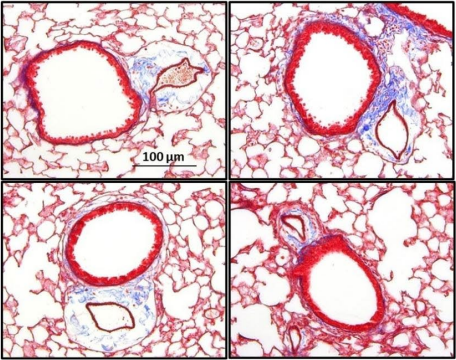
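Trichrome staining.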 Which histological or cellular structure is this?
Airways.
